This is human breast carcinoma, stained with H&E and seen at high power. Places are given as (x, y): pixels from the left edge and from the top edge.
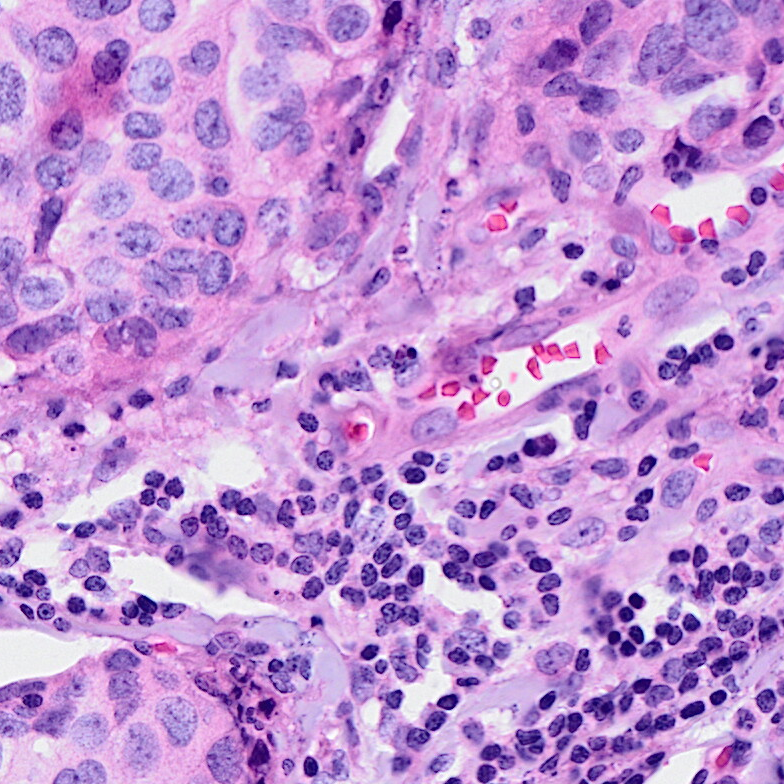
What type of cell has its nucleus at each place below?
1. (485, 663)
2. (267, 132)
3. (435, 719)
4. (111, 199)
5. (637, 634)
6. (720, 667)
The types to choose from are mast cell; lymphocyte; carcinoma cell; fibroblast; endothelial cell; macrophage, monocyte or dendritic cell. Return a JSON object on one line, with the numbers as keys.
{"1": "lymphocyte", "2": "carcinoma cell", "3": "lymphocyte", "4": "carcinoma cell", "5": "lymphocyte", "6": "lymphocyte"}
